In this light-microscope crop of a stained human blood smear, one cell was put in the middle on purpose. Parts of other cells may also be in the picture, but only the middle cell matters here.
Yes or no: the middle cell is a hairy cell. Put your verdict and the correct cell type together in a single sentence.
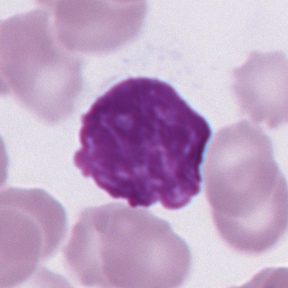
No, the middle one is a smudge cell rather than a hairy cell.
